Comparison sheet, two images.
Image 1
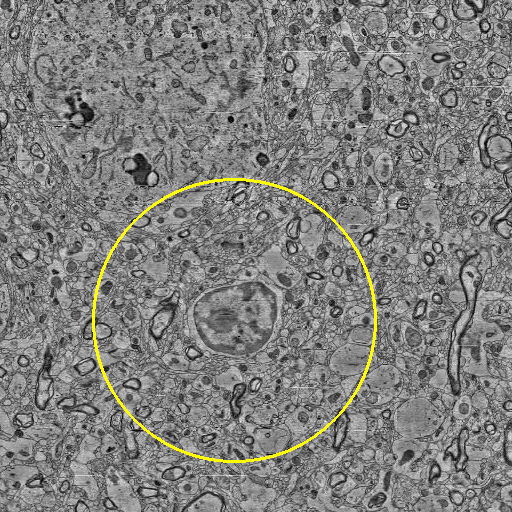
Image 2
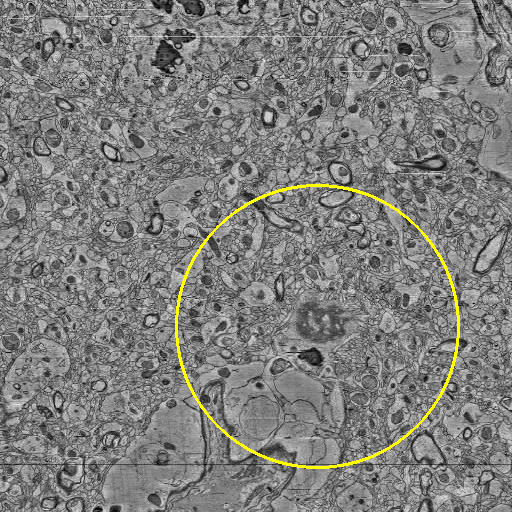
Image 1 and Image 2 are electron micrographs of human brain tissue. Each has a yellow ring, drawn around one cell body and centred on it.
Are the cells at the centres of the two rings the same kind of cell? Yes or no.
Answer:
no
